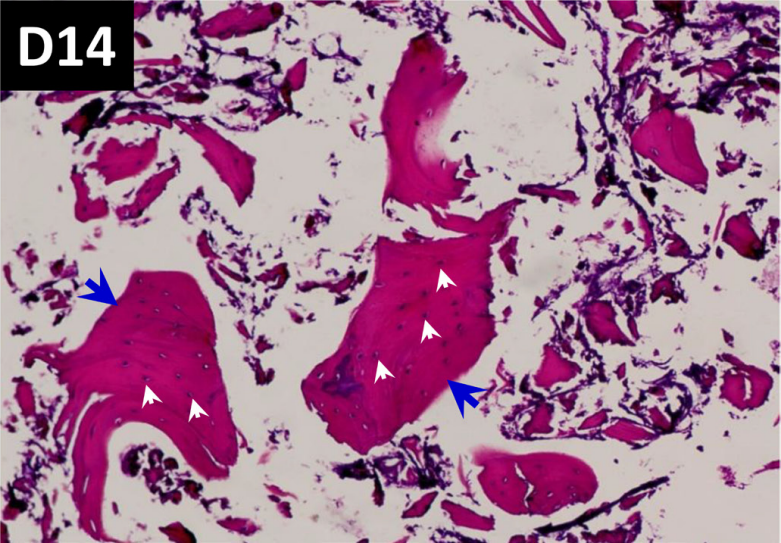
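Many separate pink fragments of bone matrix of varied size are spread across the field, with osteocytes in small spaces within the larger fragments. The osteocyte nuclei show as small dark dots scattered through the matrix, which has a faintly layered texture. Between the fragments lie scattered small pink and purple pieces and wide empty areas.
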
